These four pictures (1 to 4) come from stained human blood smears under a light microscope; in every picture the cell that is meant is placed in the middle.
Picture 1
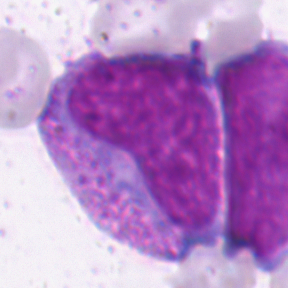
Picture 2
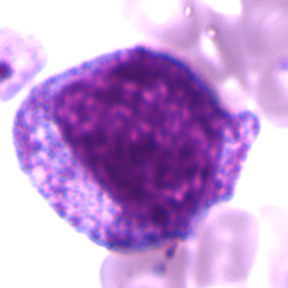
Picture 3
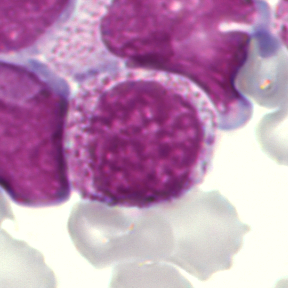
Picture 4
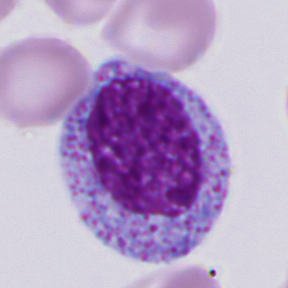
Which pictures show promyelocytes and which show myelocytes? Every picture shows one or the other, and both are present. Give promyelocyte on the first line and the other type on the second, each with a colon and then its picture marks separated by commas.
promyelocyte: 1, 2, 4
myelocyte: 3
